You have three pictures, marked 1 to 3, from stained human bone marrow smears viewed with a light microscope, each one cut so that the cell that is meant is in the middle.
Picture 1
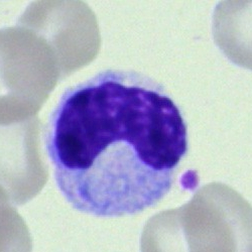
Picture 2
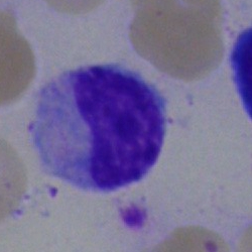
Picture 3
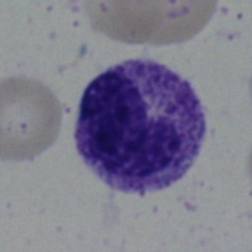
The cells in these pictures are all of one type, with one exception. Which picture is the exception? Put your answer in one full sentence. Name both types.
Picture 1 differs, because its cell is a band neutrophil and the rest are metamyelocytes.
